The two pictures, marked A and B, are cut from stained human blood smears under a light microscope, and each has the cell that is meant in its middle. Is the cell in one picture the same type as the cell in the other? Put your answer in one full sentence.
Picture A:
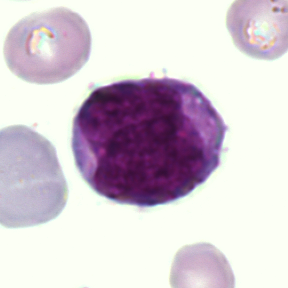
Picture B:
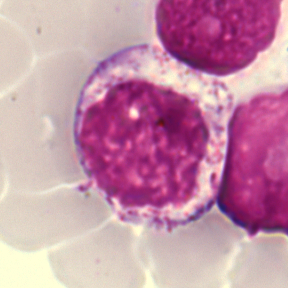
No, they differ: the cell is an atypical promyelocyte in picture A and a myelocyte in picture B.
